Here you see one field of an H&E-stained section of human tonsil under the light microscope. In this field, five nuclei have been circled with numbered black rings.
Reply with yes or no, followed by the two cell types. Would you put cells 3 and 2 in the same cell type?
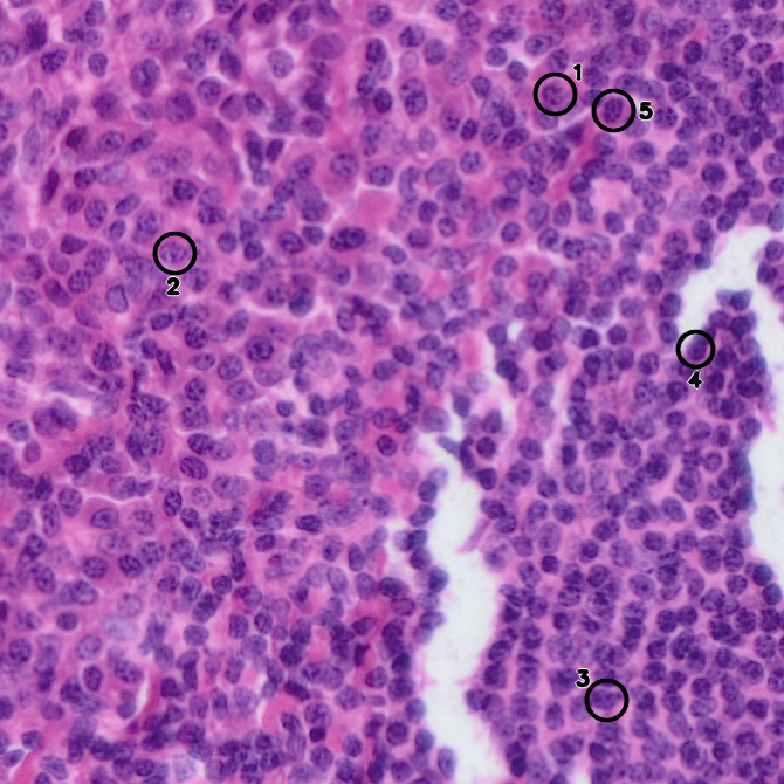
No, the cell numbered 3 is a small lymphocyte, and the cell numbered 2 is a plasma cell.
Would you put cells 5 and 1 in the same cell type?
Yes, cells 5 and 1 are of one type, both being plasma cells.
